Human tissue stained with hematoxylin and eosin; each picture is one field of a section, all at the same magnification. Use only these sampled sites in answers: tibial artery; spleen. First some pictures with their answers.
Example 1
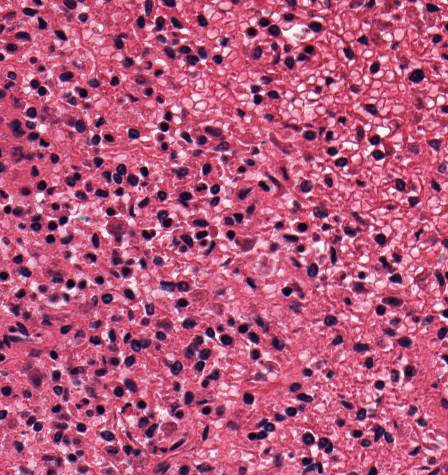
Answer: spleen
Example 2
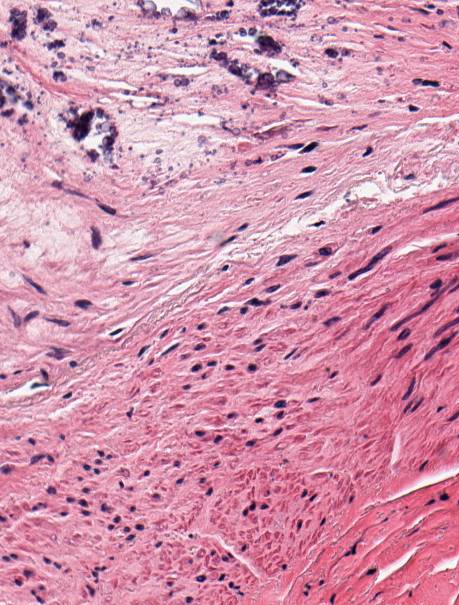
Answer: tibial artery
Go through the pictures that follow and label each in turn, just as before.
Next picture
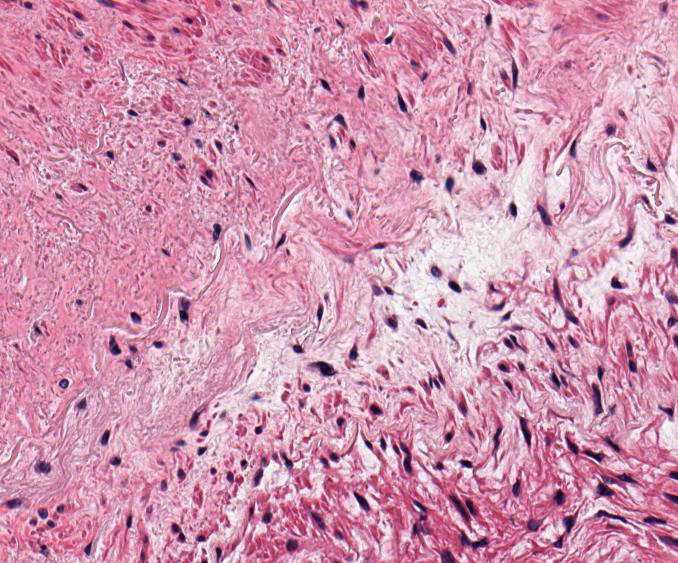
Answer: tibial artery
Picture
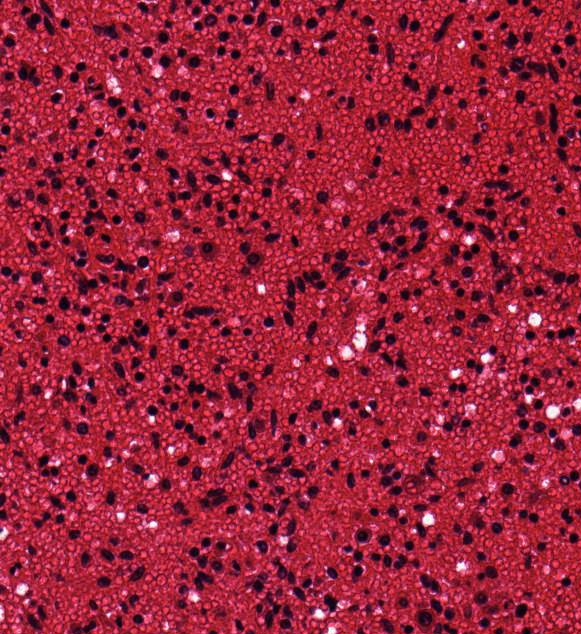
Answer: spleen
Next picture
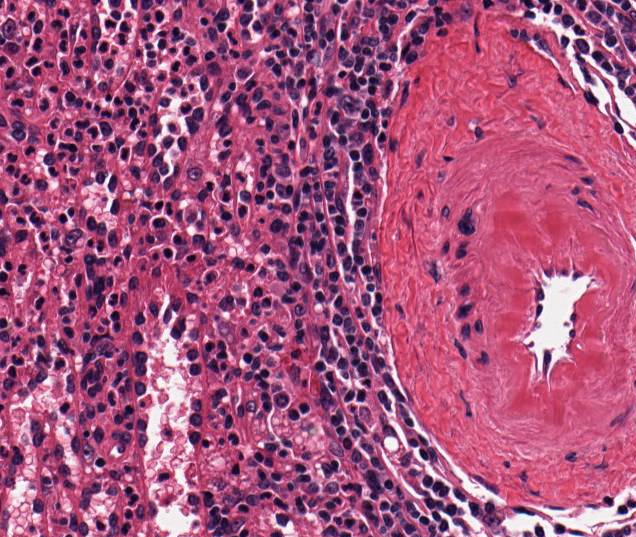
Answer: spleen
